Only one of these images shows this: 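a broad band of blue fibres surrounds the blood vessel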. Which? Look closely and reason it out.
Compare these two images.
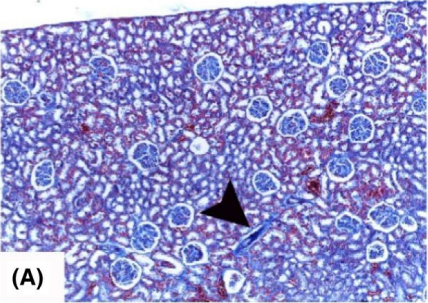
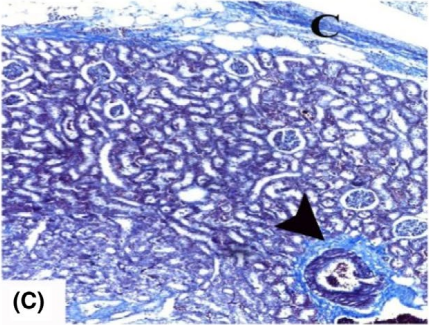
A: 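First image: the vessel at the arrowhead has only a thin blue rim. Second image: the vessel at the arrowhead is wrapped in a thick blue band.
The second image.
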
